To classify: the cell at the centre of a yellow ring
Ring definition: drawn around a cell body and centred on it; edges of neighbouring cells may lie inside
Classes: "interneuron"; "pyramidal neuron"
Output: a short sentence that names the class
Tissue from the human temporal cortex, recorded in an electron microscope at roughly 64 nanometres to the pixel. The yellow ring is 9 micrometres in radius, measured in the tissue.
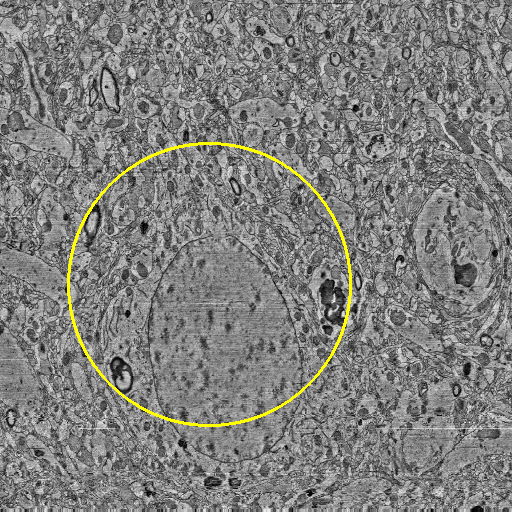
The ringed cell is a pyramidal neuron.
